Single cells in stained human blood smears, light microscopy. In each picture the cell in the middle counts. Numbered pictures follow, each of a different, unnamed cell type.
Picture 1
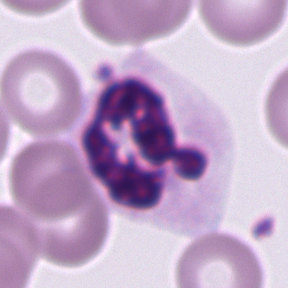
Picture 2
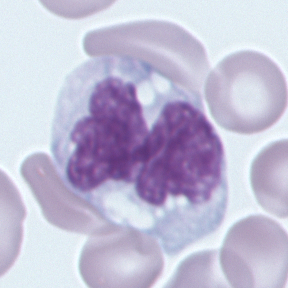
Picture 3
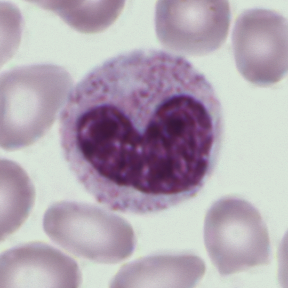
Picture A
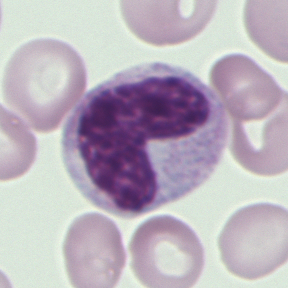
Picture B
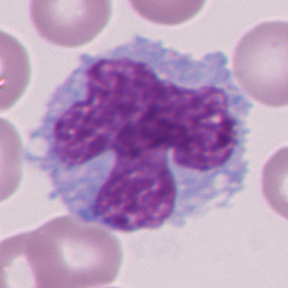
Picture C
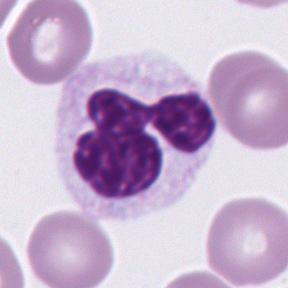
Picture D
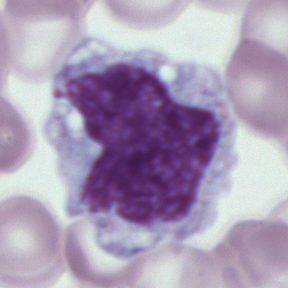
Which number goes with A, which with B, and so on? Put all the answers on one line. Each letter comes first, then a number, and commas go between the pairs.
A 3, B 2, C 1, D 2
